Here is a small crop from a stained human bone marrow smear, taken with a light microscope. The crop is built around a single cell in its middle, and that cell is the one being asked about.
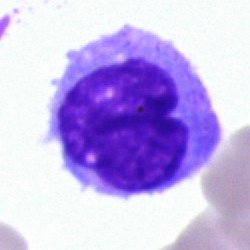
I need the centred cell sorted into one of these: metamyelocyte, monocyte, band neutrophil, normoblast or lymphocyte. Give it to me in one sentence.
The cell that lies at the centre of the crop is a monocyte.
